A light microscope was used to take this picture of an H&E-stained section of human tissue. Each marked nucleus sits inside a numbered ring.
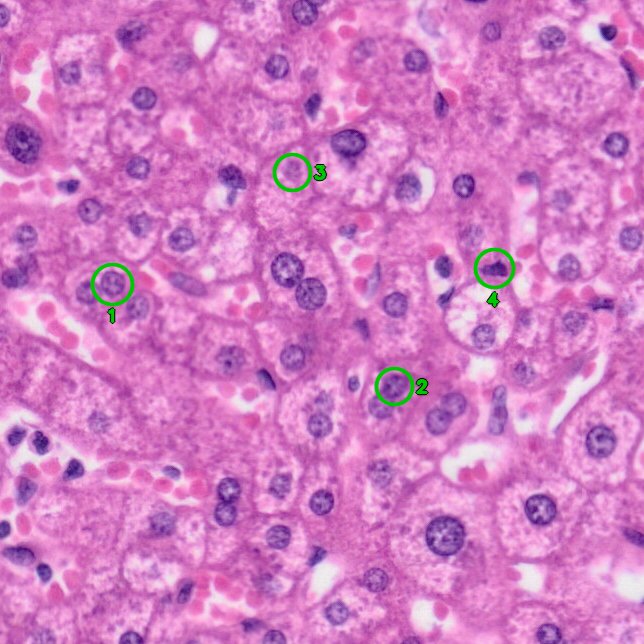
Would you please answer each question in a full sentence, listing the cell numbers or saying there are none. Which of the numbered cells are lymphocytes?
None among the numbered cells are lymphocytes.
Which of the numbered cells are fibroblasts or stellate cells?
Among the labelled cells, only the cell labelled 4 is a fibroblast or stellate cell.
